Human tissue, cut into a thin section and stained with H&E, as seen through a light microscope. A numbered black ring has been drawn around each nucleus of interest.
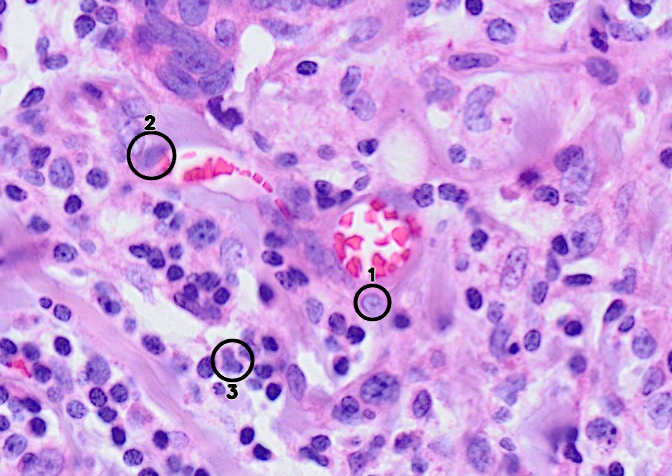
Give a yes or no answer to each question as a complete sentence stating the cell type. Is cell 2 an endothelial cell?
Yes, the cell at marker 2 is an endothelial cell.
